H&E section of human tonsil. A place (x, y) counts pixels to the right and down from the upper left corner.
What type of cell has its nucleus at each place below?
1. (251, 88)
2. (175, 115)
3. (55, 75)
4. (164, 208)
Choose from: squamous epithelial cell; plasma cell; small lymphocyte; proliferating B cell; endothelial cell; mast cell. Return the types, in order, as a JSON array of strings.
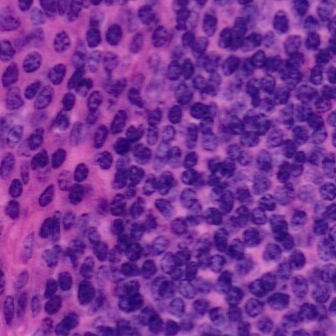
["small lymphocyte", "small lymphocyte", "plasma cell", "small lymphocyte"]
